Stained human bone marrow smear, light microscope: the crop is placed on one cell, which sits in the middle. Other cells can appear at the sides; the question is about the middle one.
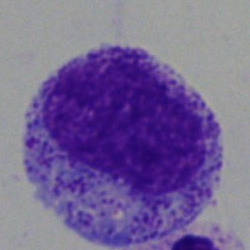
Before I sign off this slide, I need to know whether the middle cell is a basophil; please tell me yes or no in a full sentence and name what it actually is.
No, the centred cell is a promyelocyte instead of a basophil.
